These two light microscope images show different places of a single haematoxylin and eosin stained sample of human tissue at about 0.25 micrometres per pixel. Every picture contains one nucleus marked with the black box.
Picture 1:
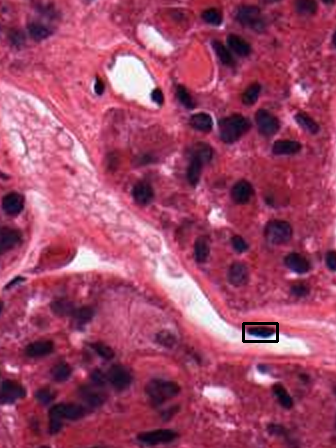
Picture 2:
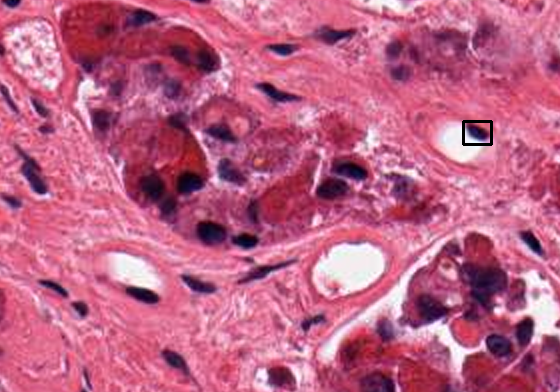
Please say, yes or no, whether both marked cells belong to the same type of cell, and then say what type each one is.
Yes, both are endothelial cells.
